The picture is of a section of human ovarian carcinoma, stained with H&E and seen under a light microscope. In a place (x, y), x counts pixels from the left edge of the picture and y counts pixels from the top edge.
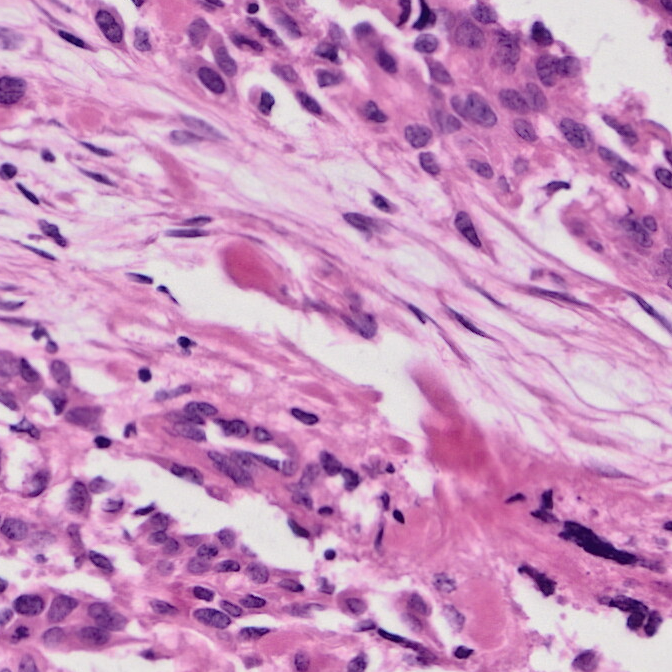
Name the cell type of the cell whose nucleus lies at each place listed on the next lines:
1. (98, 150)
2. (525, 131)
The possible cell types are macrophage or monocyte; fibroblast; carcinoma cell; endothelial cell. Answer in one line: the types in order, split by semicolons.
fibroblast; carcinoma cell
